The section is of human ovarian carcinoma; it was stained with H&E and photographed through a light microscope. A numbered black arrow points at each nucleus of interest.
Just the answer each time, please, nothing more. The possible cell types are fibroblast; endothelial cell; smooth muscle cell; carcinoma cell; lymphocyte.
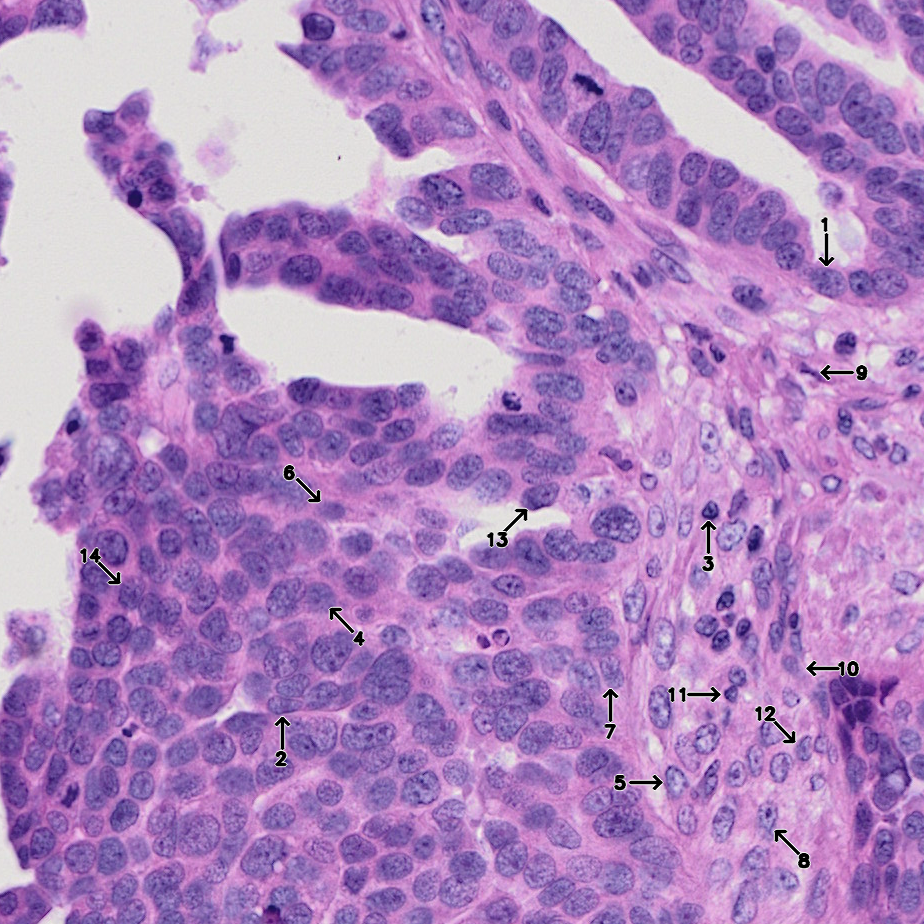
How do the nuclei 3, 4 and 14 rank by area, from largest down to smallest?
4, 14, 3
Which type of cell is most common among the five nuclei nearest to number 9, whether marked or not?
endothelial cell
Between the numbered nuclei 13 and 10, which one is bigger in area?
13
